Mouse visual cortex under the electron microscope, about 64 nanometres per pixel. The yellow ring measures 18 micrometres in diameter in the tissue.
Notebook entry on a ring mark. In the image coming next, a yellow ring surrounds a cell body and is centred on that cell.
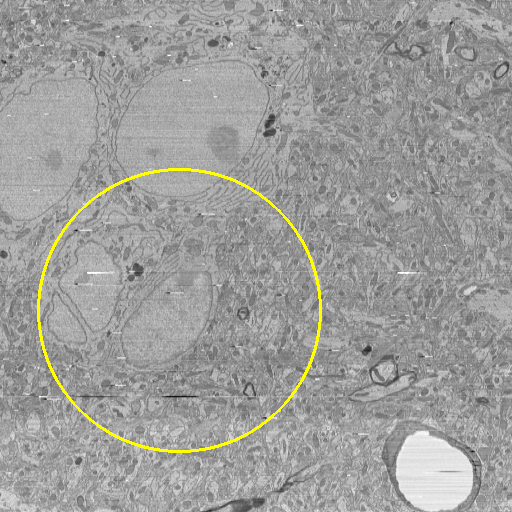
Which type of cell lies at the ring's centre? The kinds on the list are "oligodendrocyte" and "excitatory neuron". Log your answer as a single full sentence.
Centred in the yellow ring is an oligodendrocyte, the cell recorded for this image.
